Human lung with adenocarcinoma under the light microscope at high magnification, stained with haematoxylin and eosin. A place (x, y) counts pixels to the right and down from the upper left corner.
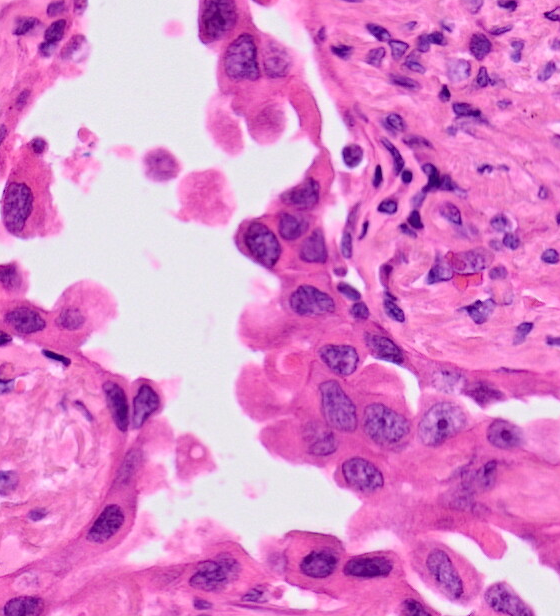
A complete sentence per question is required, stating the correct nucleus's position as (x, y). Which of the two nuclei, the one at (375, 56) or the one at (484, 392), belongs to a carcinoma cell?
The nucleus at (484, 392) is identified as belonging to a carcinoma cell.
